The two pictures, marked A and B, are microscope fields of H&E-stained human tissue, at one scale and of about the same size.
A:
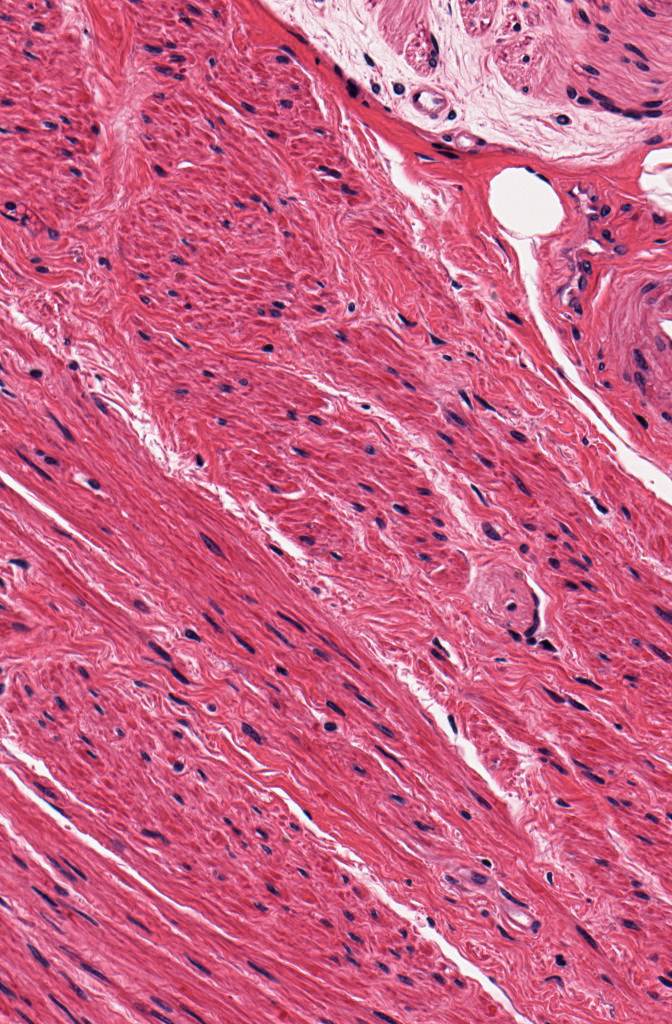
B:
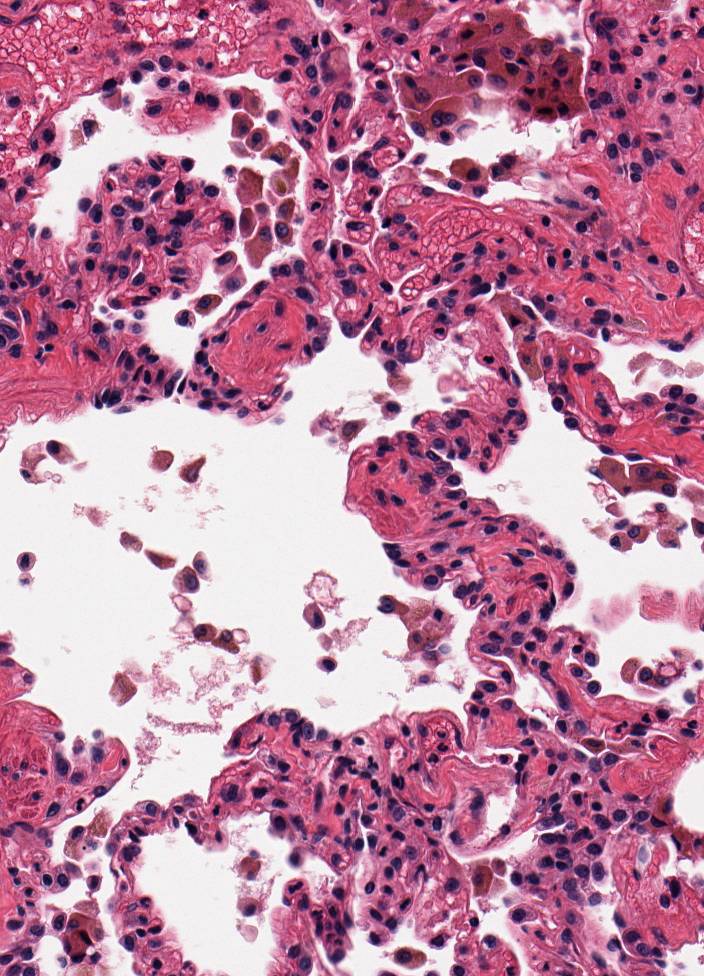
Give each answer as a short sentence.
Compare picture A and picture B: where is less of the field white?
It is picture A that stained tissue fills more completely.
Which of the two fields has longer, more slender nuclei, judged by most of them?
On the whole the nuclei of picture A are more drawn out than those of picture B.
